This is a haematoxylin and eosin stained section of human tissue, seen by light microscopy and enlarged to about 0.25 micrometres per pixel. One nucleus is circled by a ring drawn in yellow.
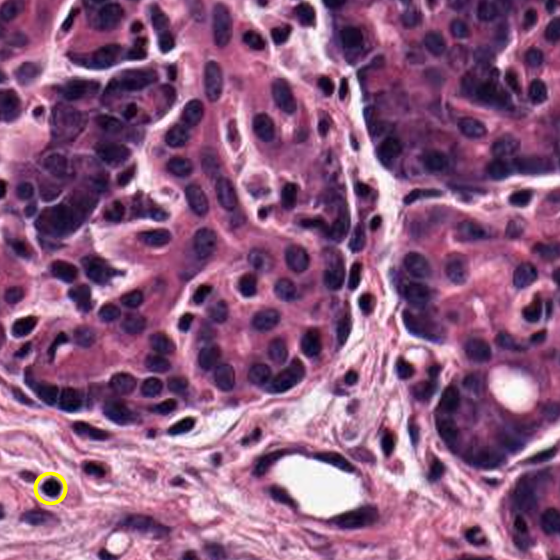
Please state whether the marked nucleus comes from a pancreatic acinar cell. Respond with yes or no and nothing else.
no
